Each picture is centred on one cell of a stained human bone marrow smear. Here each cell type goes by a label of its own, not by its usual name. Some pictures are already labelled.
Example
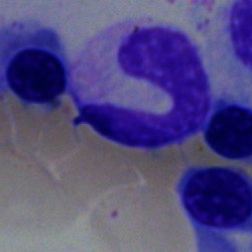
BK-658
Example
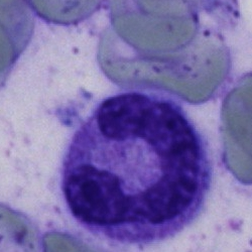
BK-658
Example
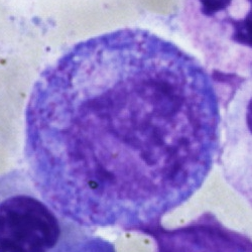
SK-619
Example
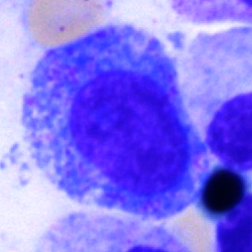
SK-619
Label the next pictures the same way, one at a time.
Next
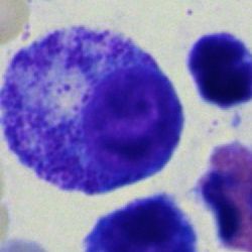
SK-619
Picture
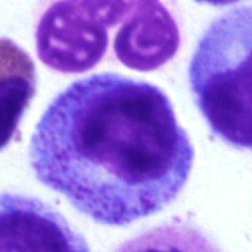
SK-619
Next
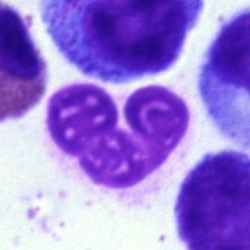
BK-658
